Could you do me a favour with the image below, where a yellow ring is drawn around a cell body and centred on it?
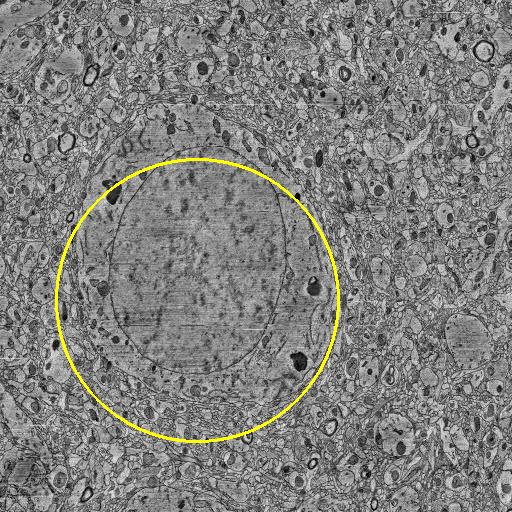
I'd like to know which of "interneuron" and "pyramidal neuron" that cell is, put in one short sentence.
The cell at the ring's centre is a pyramidal neuron.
